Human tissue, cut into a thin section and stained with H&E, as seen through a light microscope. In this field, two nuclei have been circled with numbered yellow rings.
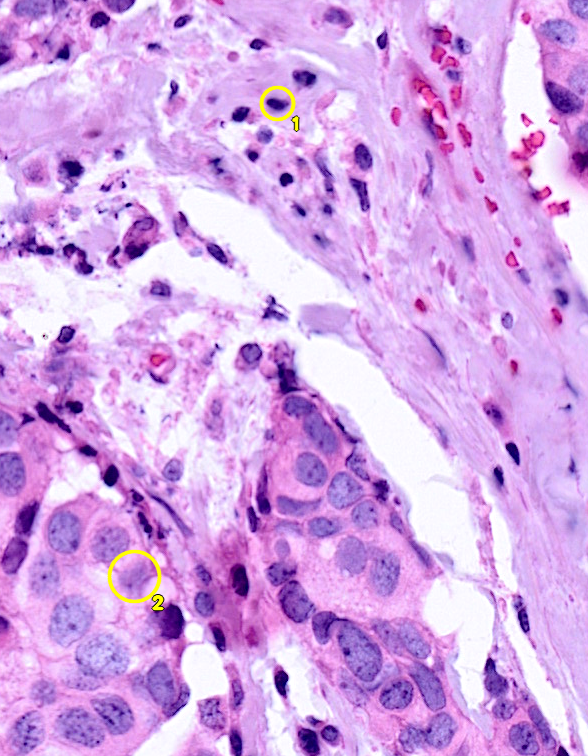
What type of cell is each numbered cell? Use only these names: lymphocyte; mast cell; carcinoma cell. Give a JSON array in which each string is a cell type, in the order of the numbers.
["lymphocyte", "carcinoma cell"]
